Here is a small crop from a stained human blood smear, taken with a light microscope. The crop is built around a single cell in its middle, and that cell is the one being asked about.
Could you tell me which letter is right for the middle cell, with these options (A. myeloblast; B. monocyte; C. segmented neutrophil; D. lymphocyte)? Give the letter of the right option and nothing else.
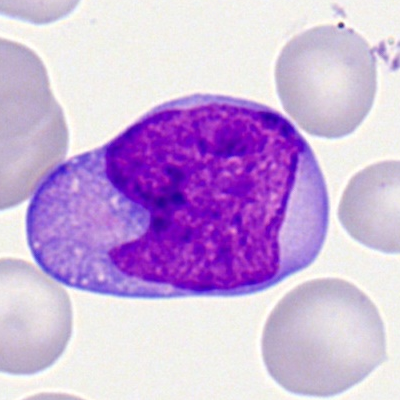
A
